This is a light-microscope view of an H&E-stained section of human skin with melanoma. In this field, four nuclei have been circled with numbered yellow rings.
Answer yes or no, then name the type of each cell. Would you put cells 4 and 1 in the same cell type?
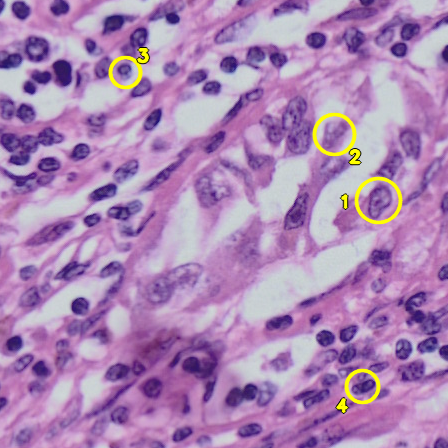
No, sorry, cell 4 is a lymphocyte and cell 1 is a melanoma cell.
